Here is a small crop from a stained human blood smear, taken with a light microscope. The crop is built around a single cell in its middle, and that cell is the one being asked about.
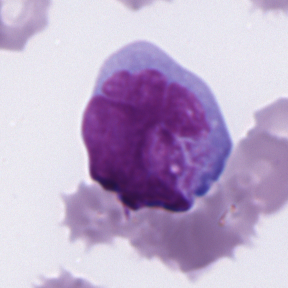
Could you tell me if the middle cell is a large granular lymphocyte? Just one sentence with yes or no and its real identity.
No, the centered cell is a myeloblast and not a large granular lymphocyte at all.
